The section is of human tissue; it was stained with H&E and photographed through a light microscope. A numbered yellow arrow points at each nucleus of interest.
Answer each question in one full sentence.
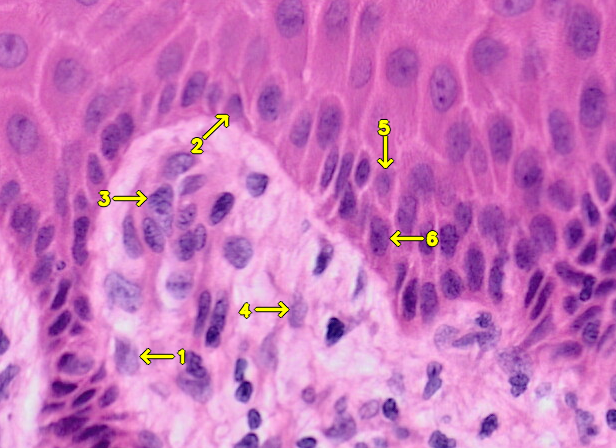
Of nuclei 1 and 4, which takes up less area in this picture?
Nucleus 4 covers less area, with nucleus 1 about 1.5 times as large.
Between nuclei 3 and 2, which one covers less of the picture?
Number 2 is smaller, since number 3 takes up about 1.5 times as much area.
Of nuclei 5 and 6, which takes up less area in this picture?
With nucleus 6 about 2 times its size, nucleus 5 is the smaller of the two.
